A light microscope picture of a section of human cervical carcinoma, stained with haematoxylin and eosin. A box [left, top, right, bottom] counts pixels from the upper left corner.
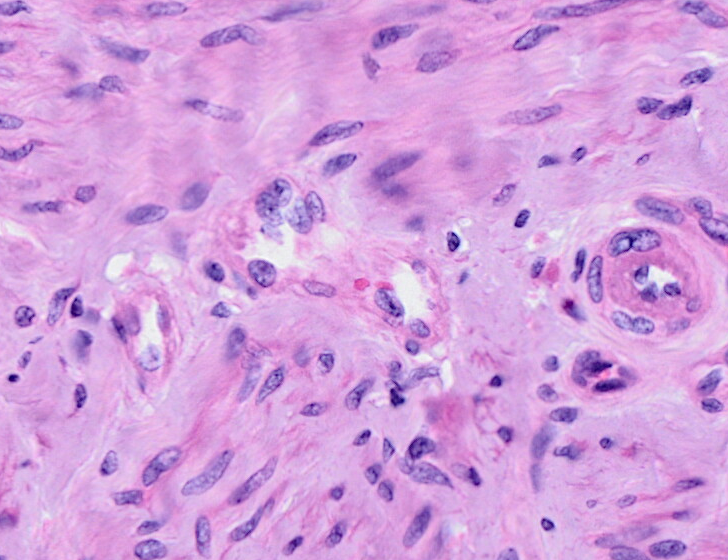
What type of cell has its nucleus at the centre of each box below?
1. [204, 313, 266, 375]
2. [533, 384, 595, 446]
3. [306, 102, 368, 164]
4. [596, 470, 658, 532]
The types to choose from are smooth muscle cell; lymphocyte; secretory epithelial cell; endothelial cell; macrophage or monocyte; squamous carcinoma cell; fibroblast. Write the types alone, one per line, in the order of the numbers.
smooth muscle cell
fibroblast
fibroblast
smooth muscle cell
